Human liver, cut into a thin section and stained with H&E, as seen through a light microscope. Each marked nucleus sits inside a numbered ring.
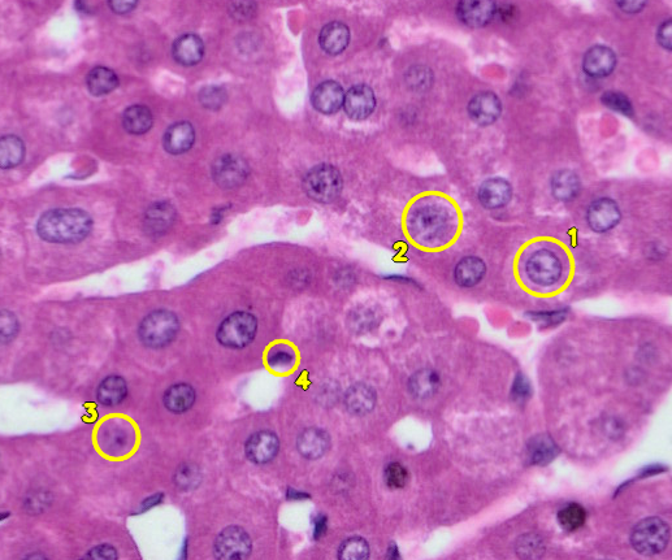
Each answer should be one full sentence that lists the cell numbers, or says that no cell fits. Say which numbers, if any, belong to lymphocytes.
Of the numbered cells, zero are lymphocytes.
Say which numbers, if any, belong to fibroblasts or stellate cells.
Cell 4 is a fibroblast or stellate cell; every other numbered cell is something else.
